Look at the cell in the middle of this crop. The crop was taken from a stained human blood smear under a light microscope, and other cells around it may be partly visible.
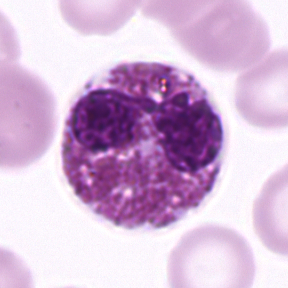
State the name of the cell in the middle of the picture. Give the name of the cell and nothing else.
eosinophil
